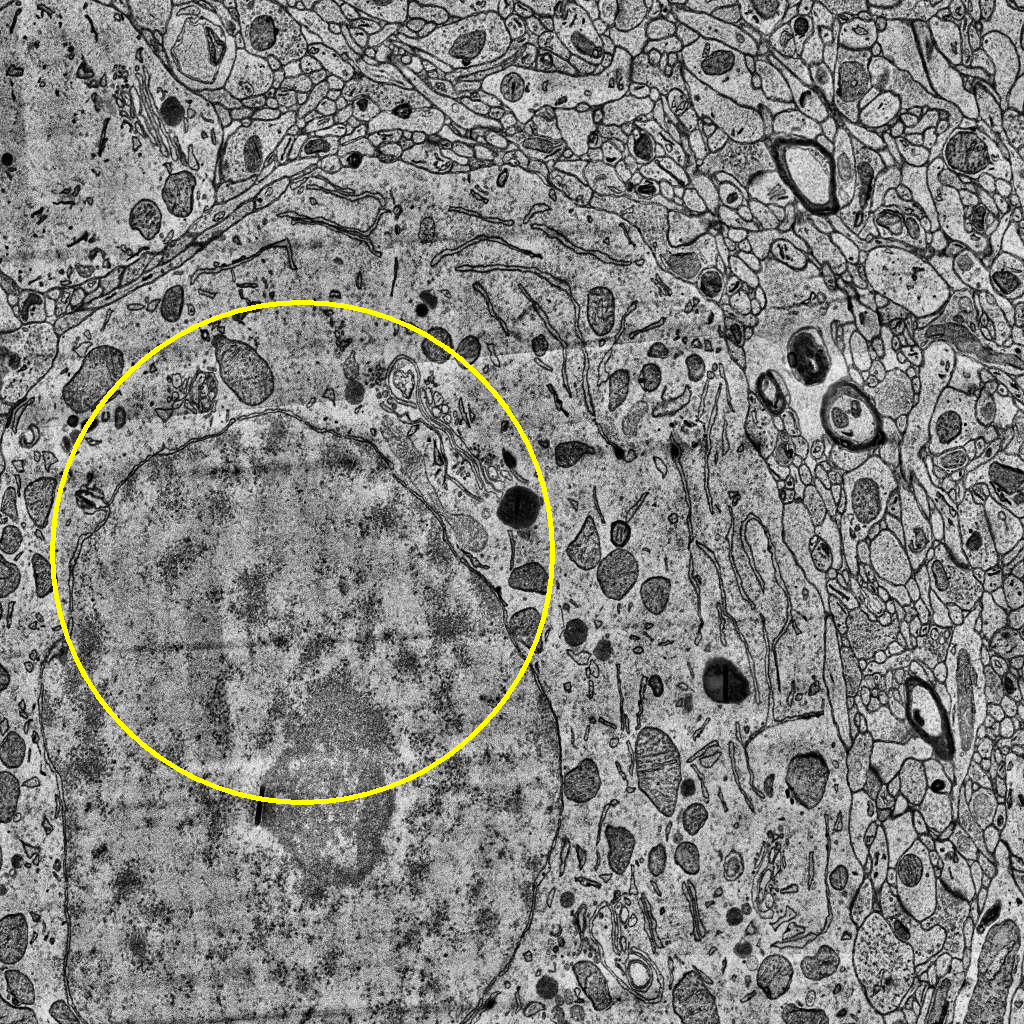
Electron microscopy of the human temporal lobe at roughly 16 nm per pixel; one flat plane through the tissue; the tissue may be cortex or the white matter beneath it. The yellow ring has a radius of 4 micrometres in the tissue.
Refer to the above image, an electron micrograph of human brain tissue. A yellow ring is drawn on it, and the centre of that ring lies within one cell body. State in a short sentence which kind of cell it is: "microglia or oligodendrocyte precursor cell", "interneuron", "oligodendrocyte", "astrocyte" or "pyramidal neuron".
The centre of the ring falls on an interneuron.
